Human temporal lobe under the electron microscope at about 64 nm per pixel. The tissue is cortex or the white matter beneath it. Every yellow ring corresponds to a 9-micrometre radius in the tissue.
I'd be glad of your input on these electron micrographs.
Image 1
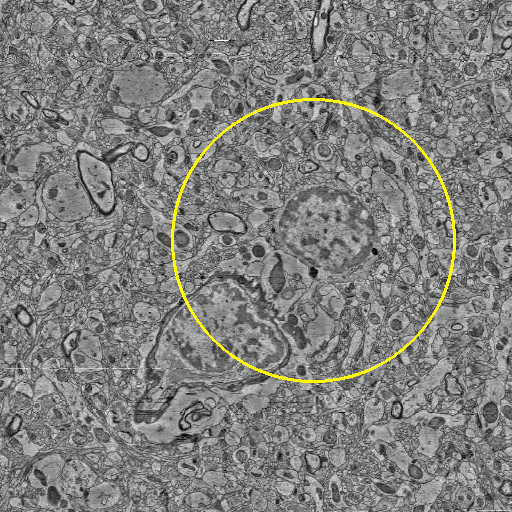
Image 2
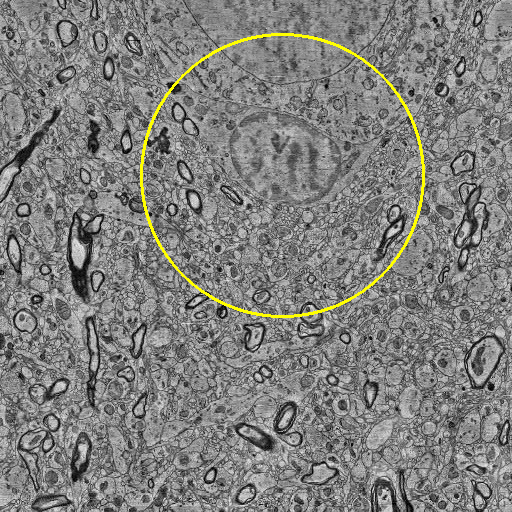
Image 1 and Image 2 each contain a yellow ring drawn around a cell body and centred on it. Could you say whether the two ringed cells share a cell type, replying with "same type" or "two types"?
same type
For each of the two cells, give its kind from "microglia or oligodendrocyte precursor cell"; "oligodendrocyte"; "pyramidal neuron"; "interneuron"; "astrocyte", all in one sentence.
The first and the second cell are each an oligodendrocyte.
